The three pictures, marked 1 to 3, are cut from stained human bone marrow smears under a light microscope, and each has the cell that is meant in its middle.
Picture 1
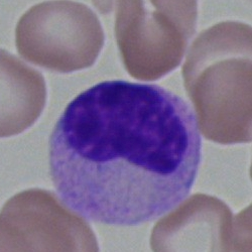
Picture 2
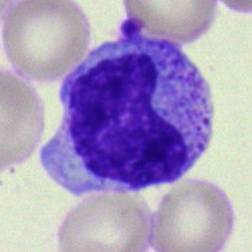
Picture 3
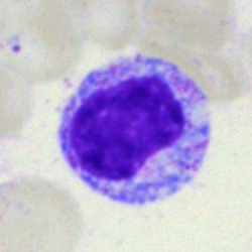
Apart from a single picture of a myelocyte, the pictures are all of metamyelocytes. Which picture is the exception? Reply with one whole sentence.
It is picture 3 that shows the myelocyte.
